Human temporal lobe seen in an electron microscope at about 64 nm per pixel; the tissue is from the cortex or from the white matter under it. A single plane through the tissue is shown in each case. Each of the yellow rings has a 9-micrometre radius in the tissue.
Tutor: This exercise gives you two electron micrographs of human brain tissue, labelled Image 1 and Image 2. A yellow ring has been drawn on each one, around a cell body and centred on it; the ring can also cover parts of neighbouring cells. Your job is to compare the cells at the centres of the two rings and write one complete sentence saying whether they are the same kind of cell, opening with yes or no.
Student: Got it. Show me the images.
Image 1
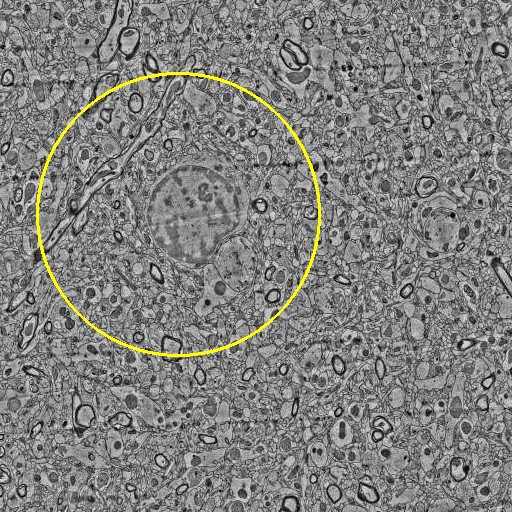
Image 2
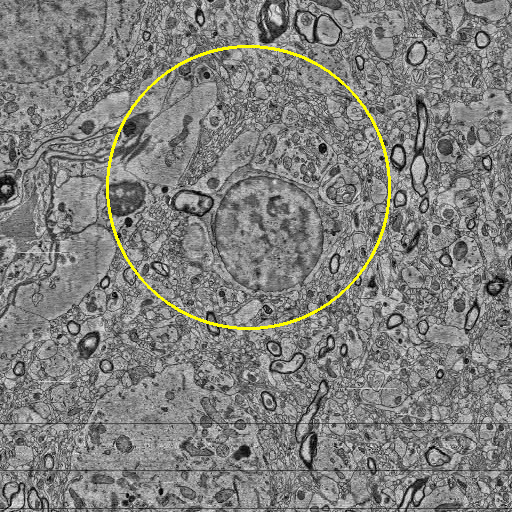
Yes, the two cells belong to the same kind.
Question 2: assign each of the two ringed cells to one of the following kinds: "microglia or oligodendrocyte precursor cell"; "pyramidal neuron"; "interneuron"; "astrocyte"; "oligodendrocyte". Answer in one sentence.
In each picture the ringed cell is an oligodendrocyte.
